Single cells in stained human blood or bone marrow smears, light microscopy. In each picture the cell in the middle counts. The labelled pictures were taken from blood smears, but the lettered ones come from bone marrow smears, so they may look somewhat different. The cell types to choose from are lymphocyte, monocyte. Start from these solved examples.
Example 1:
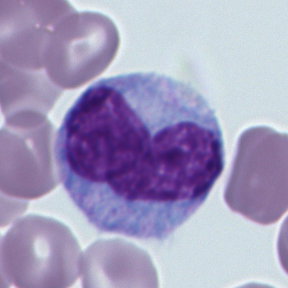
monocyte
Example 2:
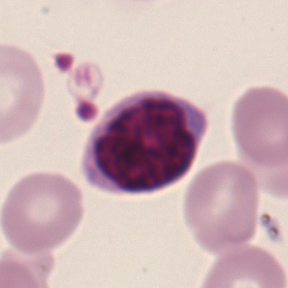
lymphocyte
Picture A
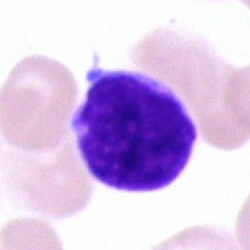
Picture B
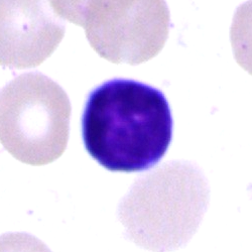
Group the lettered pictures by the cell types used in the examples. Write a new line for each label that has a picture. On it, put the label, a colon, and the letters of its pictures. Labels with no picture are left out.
lymphocyte: A, B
